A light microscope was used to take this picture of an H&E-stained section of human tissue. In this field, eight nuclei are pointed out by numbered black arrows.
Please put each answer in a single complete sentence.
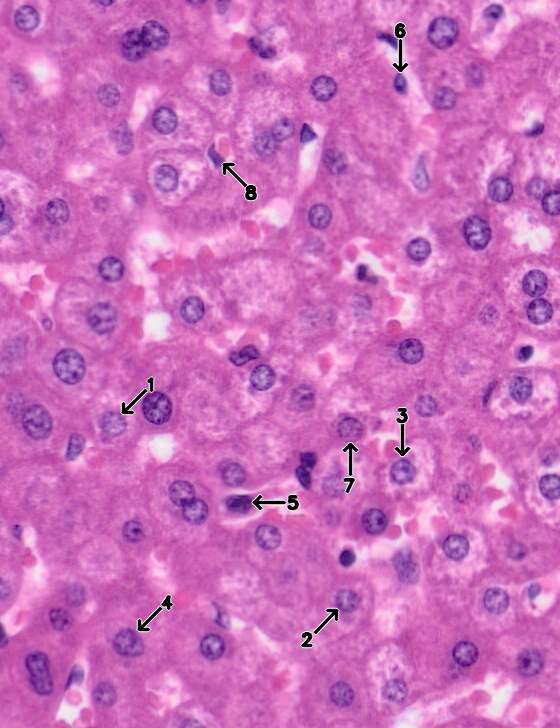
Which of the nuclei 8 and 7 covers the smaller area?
It is nucleus 8; nucleus 7 has about 2.5 times its area.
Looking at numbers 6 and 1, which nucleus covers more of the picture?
Nucleus 1 covers more area, about 2 times as much as nucleus 6.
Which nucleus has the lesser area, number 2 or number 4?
Number 2 is smaller, since number 4 takes up about 1.5 times as much area.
